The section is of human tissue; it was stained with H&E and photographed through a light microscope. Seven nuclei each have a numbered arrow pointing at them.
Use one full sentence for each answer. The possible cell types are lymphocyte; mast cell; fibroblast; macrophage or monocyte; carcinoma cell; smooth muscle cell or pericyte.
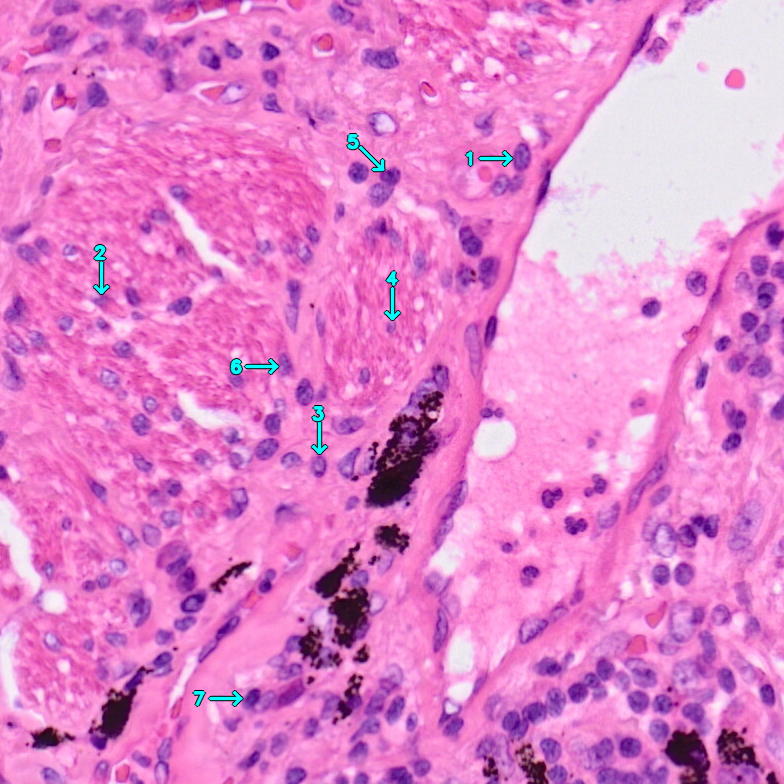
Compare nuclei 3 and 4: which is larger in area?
Nucleus 3 covers more area, about 3 times as much as nucleus 4.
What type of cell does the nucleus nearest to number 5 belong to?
Closest to number 5 lies the nucleus of a fibroblast.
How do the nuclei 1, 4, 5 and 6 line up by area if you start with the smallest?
The order from the smallest nucleus to the largest is 4, 6, 5, 1.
